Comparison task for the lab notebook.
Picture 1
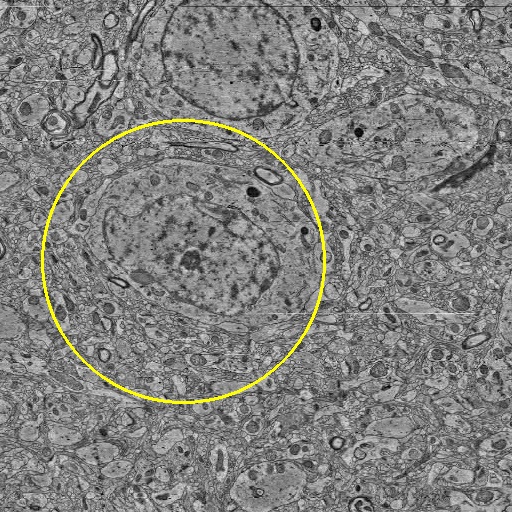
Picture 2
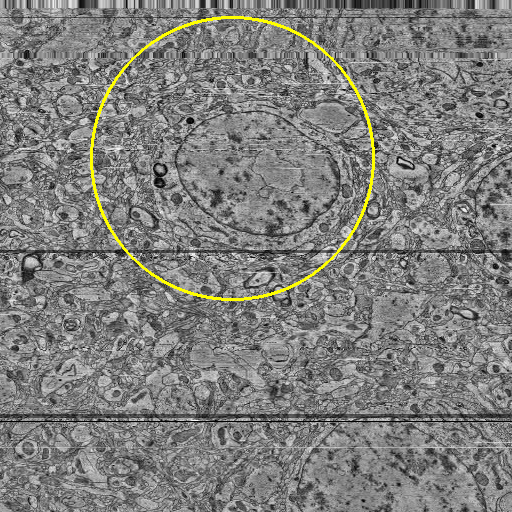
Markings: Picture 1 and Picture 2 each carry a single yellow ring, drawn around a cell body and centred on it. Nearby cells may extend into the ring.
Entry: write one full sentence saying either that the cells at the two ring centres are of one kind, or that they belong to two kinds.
The cells sitting at the ring centres in Picture 1 and Picture 2 belong to two kinds.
